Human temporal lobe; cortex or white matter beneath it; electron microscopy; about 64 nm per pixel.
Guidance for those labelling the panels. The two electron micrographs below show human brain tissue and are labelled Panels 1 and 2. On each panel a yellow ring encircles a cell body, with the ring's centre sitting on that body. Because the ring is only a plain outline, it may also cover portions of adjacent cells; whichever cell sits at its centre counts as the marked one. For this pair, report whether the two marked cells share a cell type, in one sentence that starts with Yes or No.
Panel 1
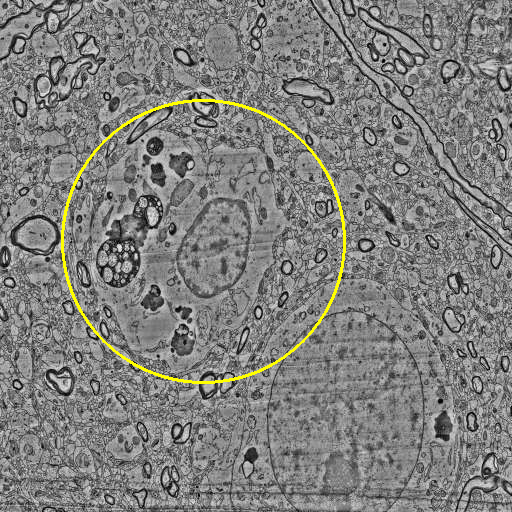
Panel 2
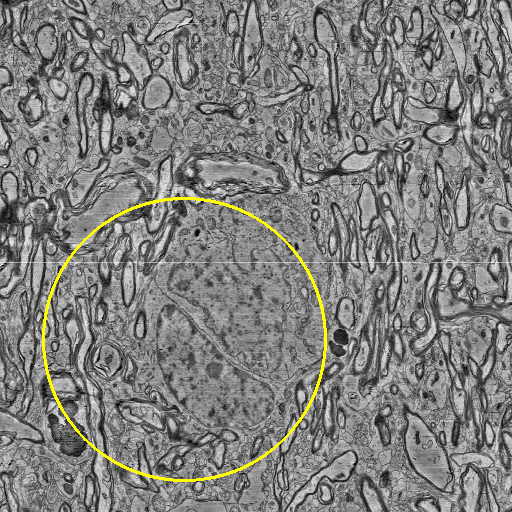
No, in Panel 1 and Panel 2 the marked cells at the ring centres are of two types.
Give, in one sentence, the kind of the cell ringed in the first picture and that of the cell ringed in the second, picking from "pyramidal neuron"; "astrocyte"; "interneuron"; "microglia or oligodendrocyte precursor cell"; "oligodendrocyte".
For the first picture it is an astrocyte; for the second, a microglial cell or oligodendrocyte precursor cell.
